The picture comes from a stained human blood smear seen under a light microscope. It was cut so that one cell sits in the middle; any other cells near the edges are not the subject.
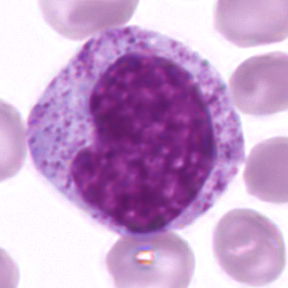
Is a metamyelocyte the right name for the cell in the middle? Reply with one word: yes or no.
no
